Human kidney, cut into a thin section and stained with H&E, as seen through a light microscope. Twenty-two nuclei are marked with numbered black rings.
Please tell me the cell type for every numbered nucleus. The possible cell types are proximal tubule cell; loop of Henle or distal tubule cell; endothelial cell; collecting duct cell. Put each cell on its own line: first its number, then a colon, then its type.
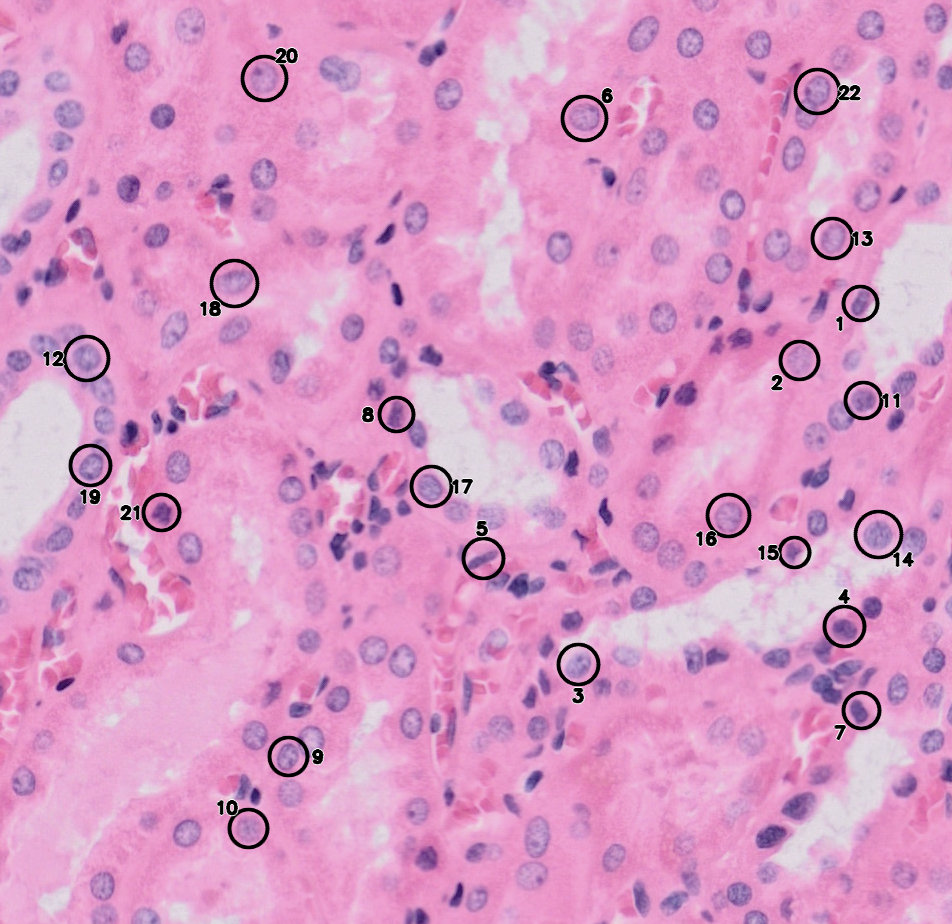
1: loop of Henle or distal tubule cell
2: proximal tubule cell
3: loop of Henle or distal tubule cell
4: loop of Henle or distal tubule cell
5: endothelial cell
6: proximal tubule cell
7: loop of Henle or distal tubule cell
8: loop of Henle or distal tubule cell
9: proximal tubule cell
10: proximal tubule cell
11: loop of Henle or distal tubule cell
12: collecting duct cell
13: proximal tubule cell
14: loop of Henle or distal tubule cell
15: loop of Henle or distal tubule cell
16: proximal tubule cell
17: loop of Henle or distal tubule cell
18: proximal tubule cell
19: collecting duct cell
20: proximal tubule cell
21: proximal tubule cell
22: proximal tubule cell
